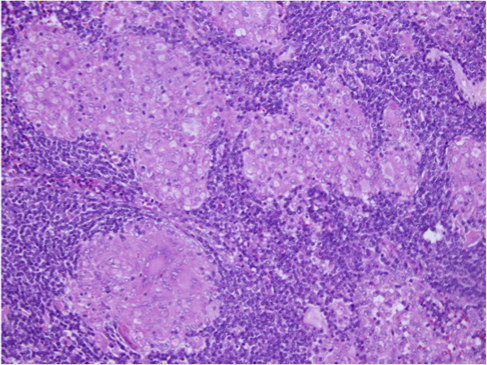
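This lymph node contains non-caseating epithelioid granulomas: rounded, pale pink nodules set within the densely packed small lymphocytes of the node. The granulomas are made of cells with abundant pink cytoplasm and pale, oval nuclei, crowded together into compact clusters. Around and between them lie sheets of small round cells with dark purple nuclei and scant cytoplasm. The nodules have no central necrosis; their centres look much like their edges. Several granulomas lie close together and partly merge.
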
